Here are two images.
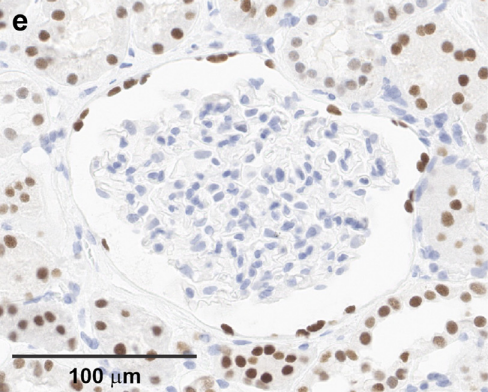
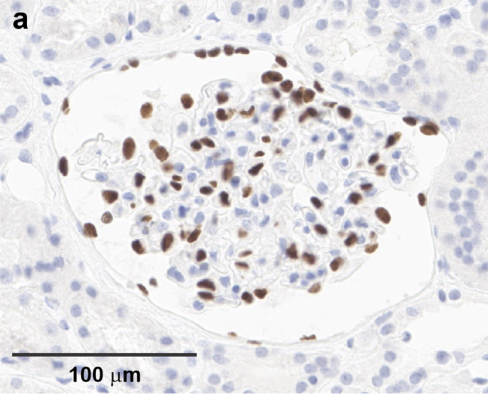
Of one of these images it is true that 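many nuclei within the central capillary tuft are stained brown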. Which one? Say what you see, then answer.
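First image: nuclei of the central tuft are all blue; brown nuclei only line the capsule and tubules. Second image: numerous brown nuclei are scattered over the central tuft.
Conclusion: the second image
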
